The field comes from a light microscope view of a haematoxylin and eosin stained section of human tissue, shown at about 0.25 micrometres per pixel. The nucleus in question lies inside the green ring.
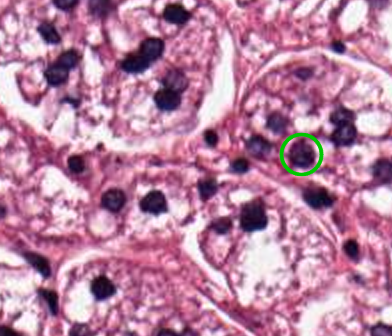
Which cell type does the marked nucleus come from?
adrenal cortical cell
